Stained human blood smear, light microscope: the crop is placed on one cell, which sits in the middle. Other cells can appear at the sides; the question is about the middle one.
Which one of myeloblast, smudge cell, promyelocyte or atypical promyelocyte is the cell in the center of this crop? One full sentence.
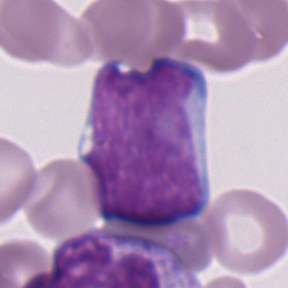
Among the cells in view, the one in the middle is a myeloblast.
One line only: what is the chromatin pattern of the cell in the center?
Chromatin texture is fine, and coarse clumps are absent.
